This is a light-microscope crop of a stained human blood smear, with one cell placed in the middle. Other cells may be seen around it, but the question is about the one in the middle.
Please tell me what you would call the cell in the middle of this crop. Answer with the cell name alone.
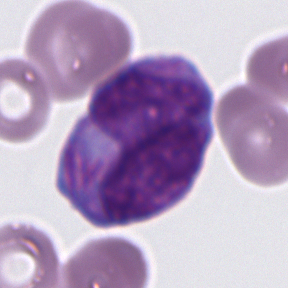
atypical promyelocyte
